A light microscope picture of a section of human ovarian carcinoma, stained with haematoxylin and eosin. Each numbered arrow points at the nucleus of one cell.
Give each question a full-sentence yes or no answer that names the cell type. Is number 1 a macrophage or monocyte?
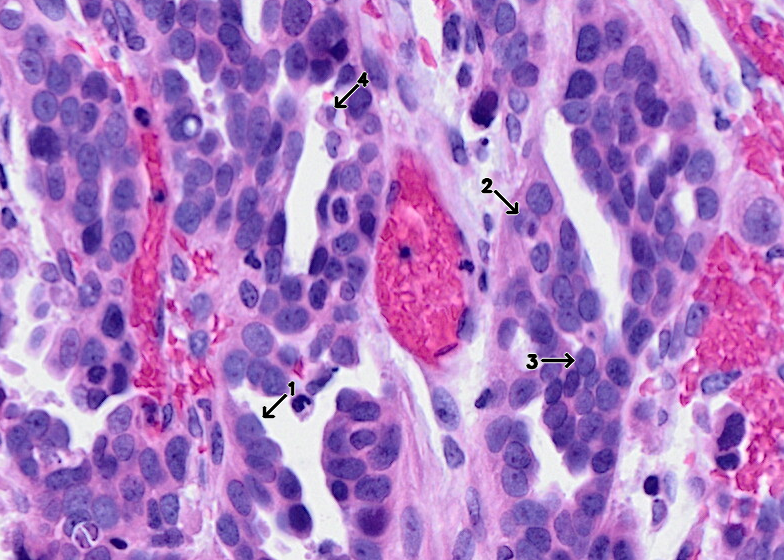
No, cell 1 is to be read as a carcinoma cell, not a macrophage or monocyte.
